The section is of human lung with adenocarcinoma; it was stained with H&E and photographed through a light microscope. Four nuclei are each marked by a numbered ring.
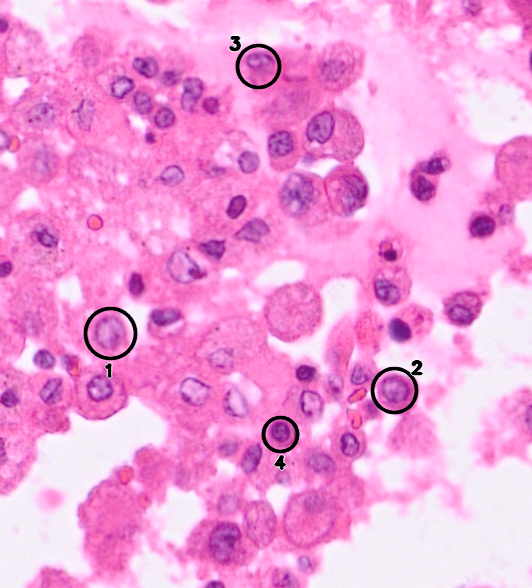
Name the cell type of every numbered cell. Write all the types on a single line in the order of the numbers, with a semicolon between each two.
macrophage or monocyte; macrophage or monocyte; macrophage or monocyte; plasma cell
